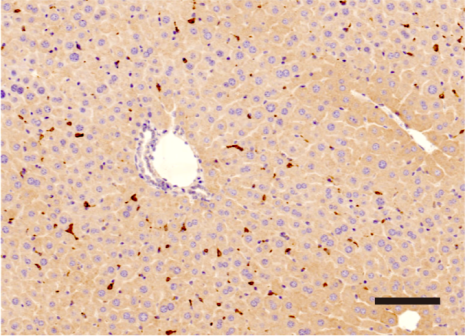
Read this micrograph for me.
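This is liver tissue made of cords of polygonal hepatocytes with round blue nuclei and evenly pale brown cytoplasm. A rounded vessel near the centre is accompanied by a few small ductal profiles and surrounding connective tissue, and a smaller vessel lies at the right. Small, dark brown, irregular cells are scattered evenly between the hepatocyte cords, matching macrophages in the sinusoids. The hepatocytes around the vessels are not more darkly stained than those elsewhere.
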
